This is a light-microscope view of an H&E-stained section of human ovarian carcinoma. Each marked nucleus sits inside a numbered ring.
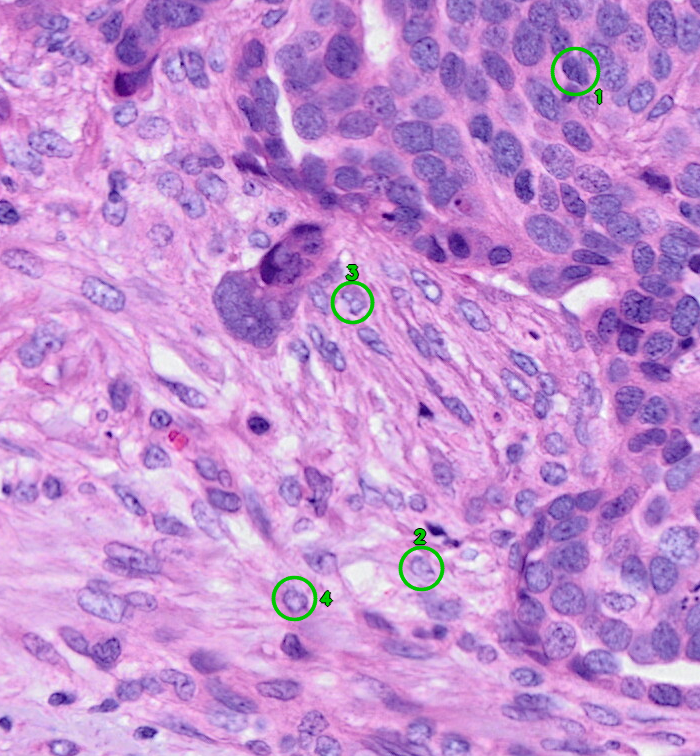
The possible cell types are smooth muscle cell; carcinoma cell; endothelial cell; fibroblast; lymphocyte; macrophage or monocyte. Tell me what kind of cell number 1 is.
carcinoma cell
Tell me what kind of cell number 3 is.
fibroblast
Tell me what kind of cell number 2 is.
fibroblast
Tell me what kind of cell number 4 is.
fibroblast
